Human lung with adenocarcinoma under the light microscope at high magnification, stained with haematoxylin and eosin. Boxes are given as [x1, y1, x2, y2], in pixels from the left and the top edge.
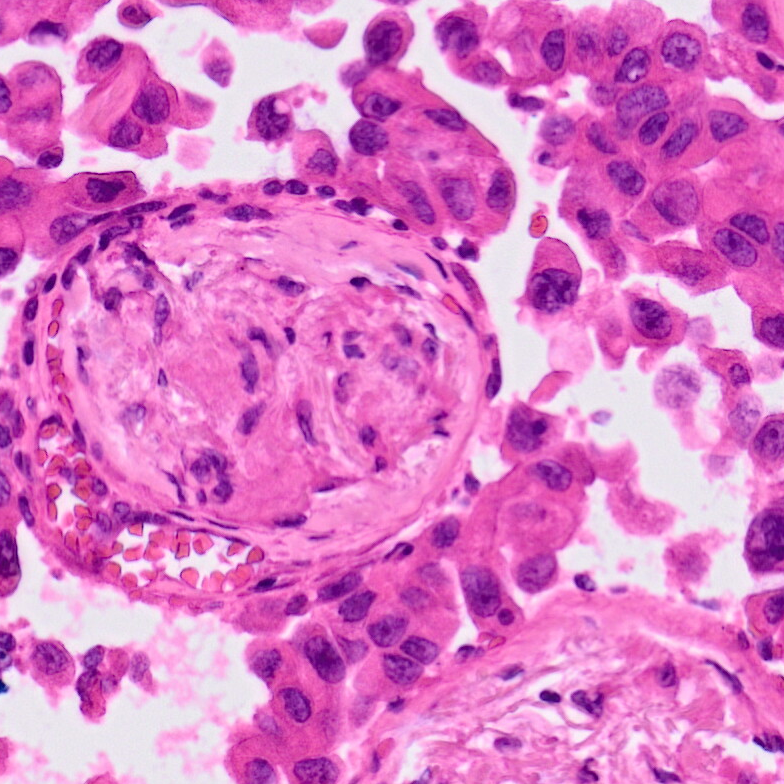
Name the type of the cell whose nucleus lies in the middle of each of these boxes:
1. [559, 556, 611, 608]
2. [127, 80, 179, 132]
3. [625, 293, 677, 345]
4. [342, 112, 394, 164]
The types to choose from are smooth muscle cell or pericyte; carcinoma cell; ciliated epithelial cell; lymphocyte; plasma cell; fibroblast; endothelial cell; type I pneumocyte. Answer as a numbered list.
1. lymphocyte
2. carcinoma cell
3. carcinoma cell
4. carcinoma cell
